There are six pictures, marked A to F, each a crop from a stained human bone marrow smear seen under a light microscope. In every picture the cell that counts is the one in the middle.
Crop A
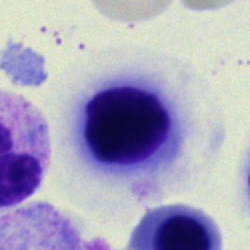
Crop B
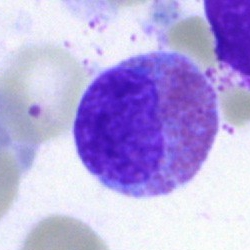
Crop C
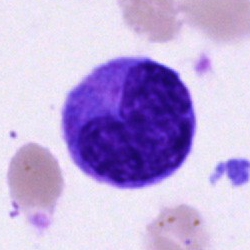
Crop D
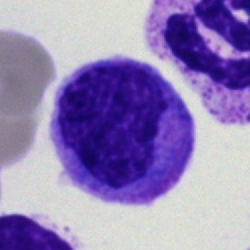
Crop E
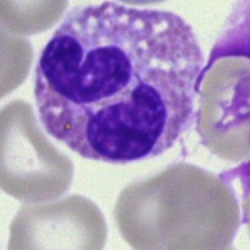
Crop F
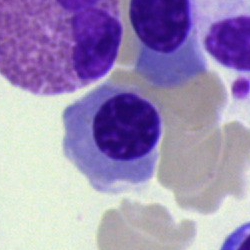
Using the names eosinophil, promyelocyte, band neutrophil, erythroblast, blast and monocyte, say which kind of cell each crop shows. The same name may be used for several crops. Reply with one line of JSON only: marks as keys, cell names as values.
{"A": "erythroblast", "B": "eosinophil", "C": "monocyte", "D": "monocyte", "E": "eosinophil", "F": "erythroblast"}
